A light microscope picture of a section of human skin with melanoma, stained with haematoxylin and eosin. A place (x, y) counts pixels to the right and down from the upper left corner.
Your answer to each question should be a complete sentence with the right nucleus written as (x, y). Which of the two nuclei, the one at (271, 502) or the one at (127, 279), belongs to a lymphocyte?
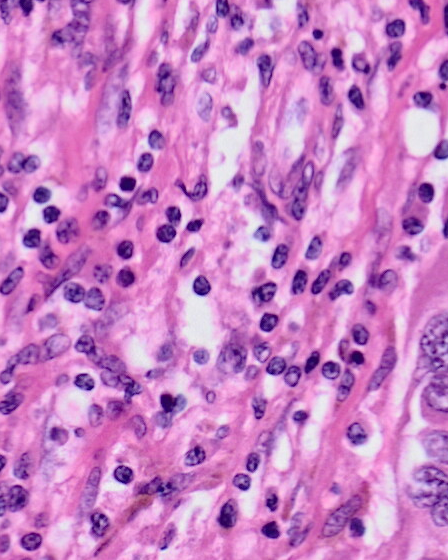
The nucleus of a lymphocyte lies at (127, 279), not at the other position.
